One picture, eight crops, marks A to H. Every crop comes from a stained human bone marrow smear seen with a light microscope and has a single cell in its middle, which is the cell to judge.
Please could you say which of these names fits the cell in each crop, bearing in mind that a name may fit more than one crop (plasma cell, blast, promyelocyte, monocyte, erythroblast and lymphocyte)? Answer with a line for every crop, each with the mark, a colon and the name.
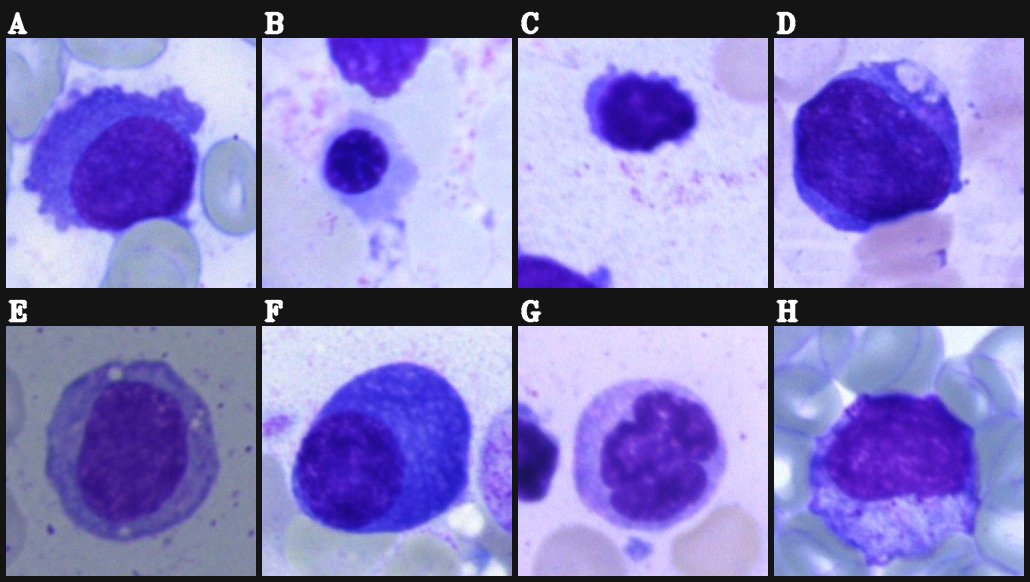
A: plasma cell
B: erythroblast
C: lymphocyte
D: blast
E: monocyte
F: plasma cell
G: monocyte
H: promyelocyte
